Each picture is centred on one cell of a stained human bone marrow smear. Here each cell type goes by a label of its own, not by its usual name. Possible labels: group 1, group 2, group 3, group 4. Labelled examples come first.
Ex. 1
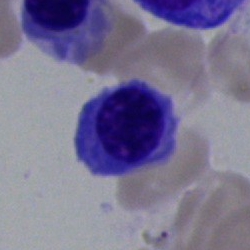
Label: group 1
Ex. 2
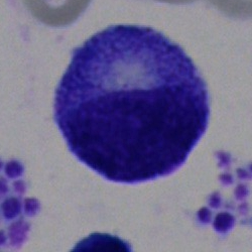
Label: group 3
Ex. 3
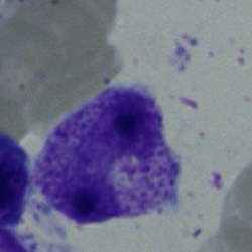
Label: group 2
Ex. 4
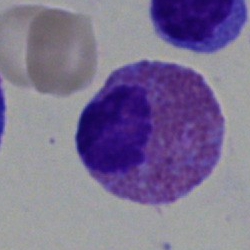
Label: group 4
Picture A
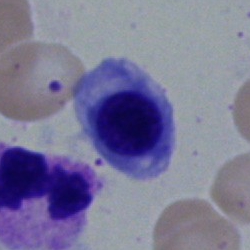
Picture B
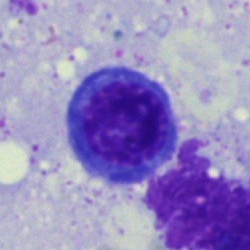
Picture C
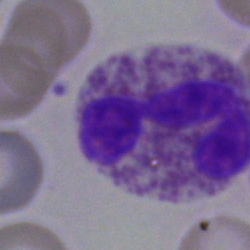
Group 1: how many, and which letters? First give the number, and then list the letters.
Count: 2 (A, B)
